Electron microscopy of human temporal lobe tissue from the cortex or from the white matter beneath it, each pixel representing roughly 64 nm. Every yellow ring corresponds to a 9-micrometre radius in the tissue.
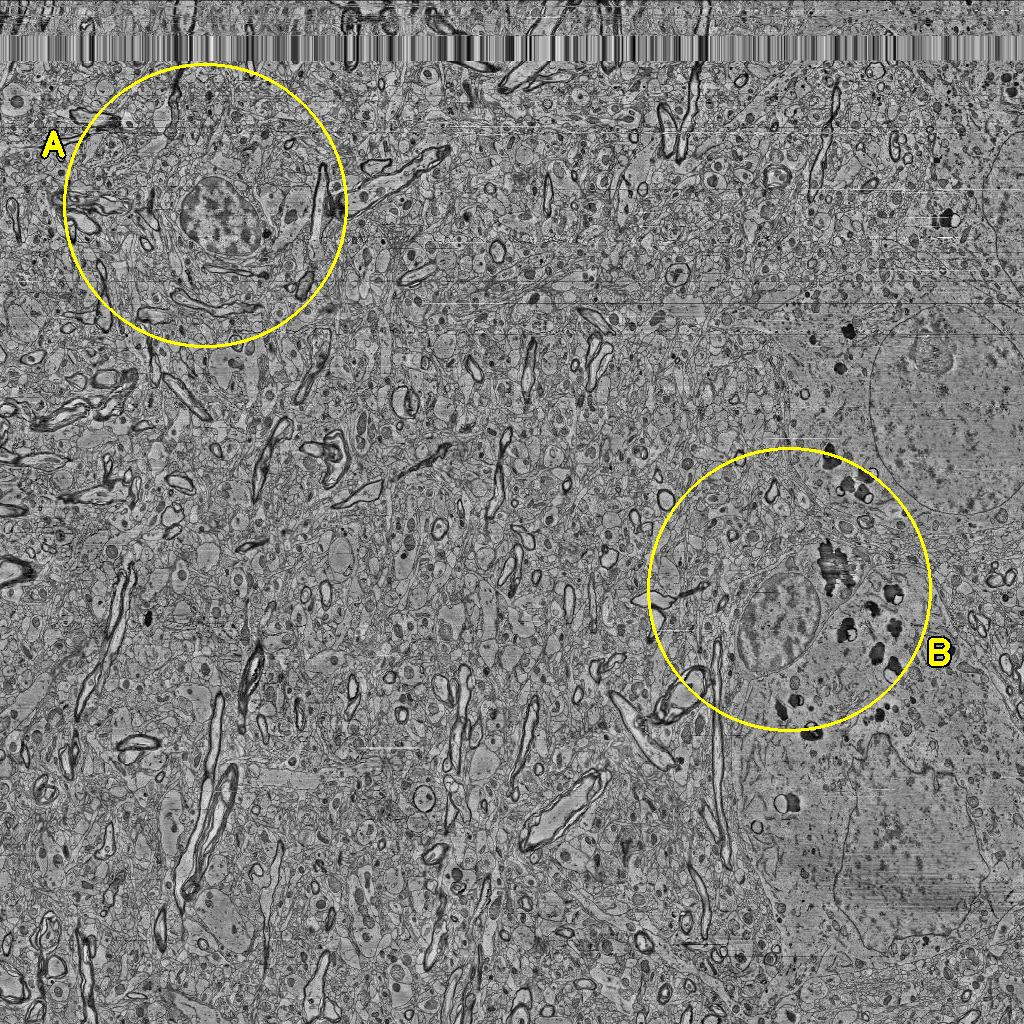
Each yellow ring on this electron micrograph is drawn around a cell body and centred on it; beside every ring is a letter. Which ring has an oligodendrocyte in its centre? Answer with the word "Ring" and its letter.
Ring B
